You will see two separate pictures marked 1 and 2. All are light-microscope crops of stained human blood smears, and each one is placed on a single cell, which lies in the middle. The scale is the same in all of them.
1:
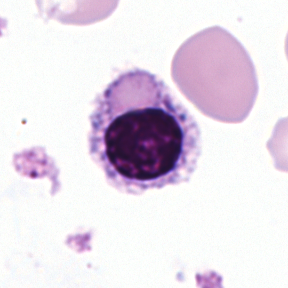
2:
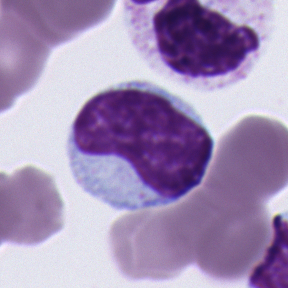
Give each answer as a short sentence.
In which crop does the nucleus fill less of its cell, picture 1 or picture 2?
It is the cell in picture 1 that is filled less by its nucleus.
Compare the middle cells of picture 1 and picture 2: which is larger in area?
Larger is the cell in picture 2, at roughly 1.5 times the area of the other.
